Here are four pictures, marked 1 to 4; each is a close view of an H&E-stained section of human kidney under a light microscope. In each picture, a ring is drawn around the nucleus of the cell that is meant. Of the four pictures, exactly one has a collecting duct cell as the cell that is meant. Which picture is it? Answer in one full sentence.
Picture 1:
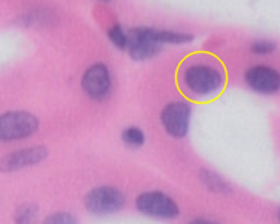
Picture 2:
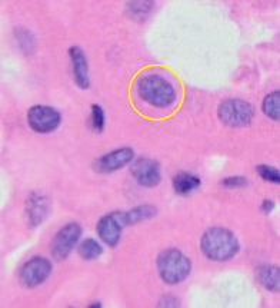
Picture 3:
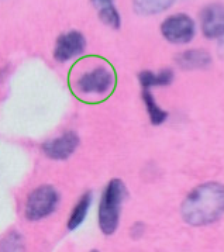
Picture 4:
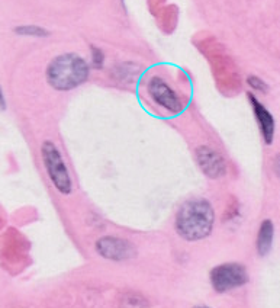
It is picture 4 that shows the collecting duct cell.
